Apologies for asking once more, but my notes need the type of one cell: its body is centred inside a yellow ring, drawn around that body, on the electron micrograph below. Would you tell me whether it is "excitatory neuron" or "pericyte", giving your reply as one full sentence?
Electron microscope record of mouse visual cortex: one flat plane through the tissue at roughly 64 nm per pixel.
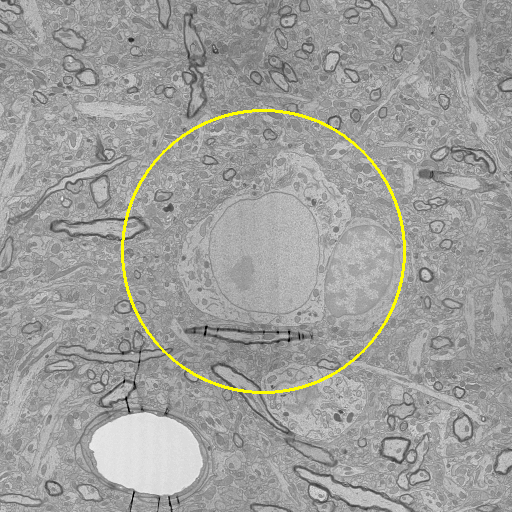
The cell that the yellow ring is centred on is an excitatory neuron in this micrograph.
